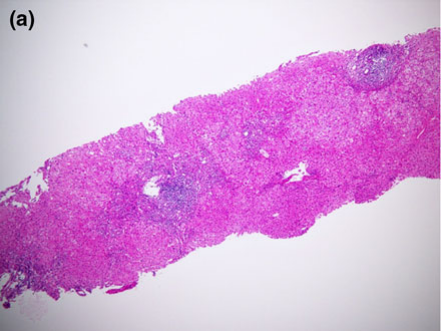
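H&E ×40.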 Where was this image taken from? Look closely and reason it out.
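Purple-blue clusters of inflammatory cells are scattered through the pink core of tissue. That points to this answer: portal areas.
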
